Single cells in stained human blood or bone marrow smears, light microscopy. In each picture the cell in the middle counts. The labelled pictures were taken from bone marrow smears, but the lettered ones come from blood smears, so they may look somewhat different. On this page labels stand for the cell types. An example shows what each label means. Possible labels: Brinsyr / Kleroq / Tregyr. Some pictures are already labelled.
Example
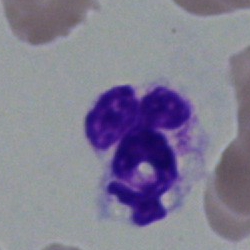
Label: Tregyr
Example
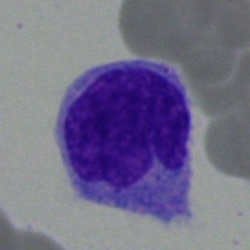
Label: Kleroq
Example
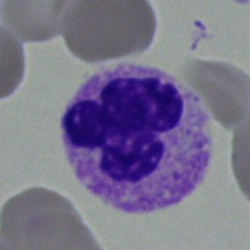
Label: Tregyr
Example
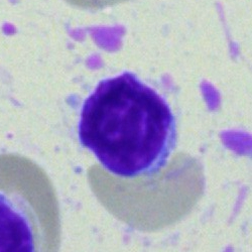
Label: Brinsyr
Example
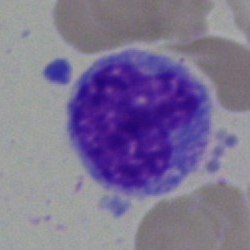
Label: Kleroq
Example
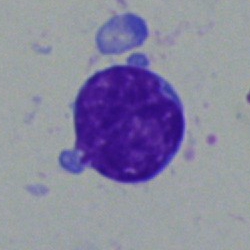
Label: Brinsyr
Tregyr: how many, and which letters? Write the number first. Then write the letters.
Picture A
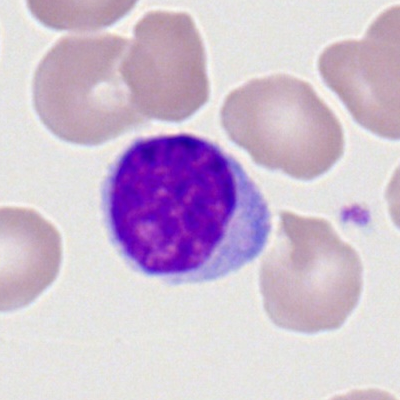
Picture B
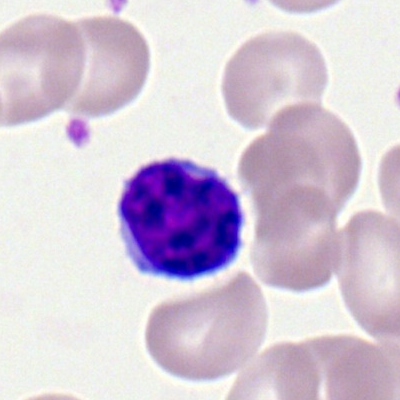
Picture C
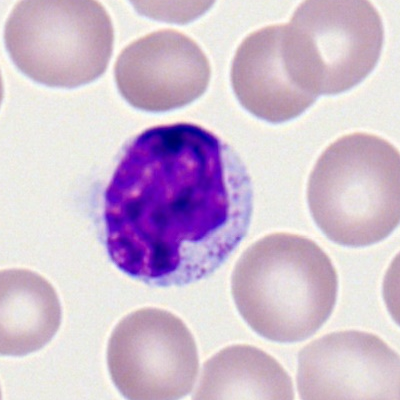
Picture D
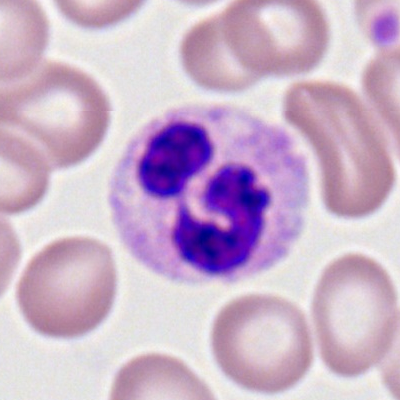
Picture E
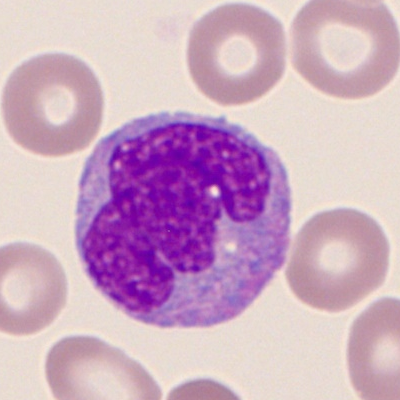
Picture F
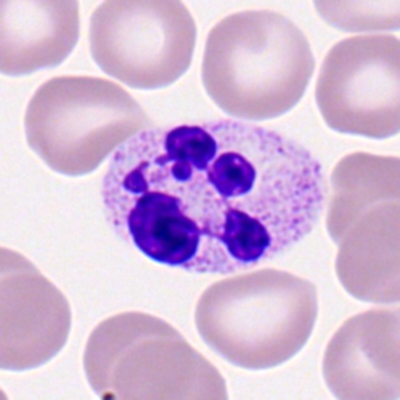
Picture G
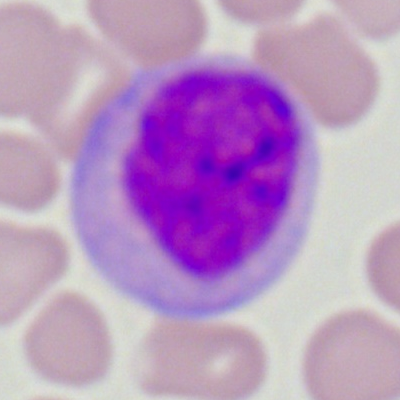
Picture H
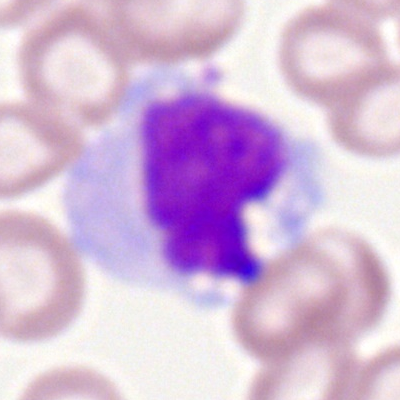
Count: 2 (D, F)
